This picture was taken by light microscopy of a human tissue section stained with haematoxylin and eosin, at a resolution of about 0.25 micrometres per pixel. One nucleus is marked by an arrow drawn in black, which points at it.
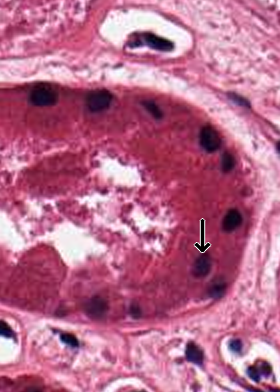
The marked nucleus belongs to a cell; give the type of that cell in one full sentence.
In this section, the marked nucleus is that of a proximal tubule cell.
